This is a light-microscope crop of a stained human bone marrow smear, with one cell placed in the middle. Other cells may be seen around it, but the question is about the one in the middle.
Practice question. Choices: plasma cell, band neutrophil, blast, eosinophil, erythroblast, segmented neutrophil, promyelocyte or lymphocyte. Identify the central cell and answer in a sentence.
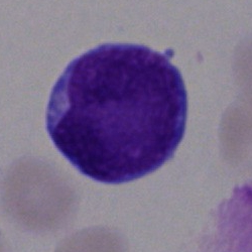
Within this crop, a blast occupies the central position.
